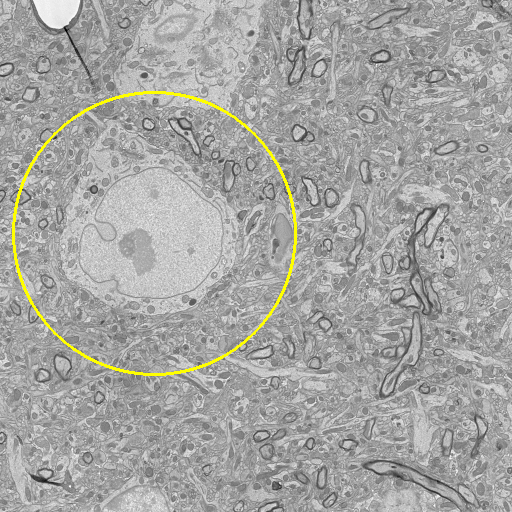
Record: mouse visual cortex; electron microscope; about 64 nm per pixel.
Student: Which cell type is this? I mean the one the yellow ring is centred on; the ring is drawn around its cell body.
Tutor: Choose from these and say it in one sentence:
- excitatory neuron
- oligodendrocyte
The cell the ring is centred on is an excitatory neuron.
